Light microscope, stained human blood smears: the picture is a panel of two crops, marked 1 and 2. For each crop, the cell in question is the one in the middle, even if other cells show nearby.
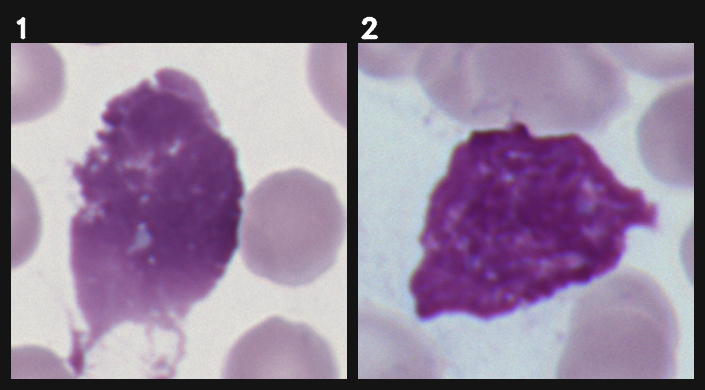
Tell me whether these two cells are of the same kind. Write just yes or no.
yes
